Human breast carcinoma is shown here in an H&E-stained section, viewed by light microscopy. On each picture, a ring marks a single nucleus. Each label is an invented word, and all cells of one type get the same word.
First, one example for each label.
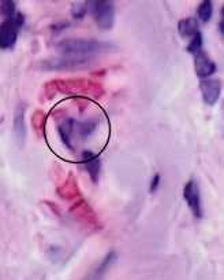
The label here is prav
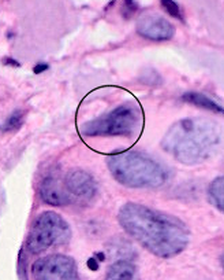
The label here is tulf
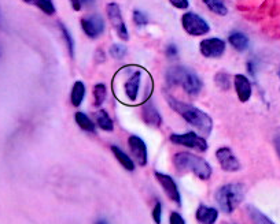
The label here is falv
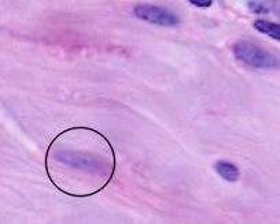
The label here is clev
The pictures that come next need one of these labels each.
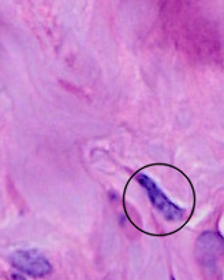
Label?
clev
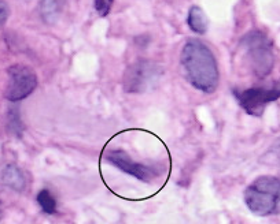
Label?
clev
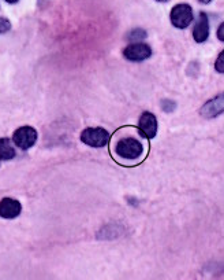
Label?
falv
